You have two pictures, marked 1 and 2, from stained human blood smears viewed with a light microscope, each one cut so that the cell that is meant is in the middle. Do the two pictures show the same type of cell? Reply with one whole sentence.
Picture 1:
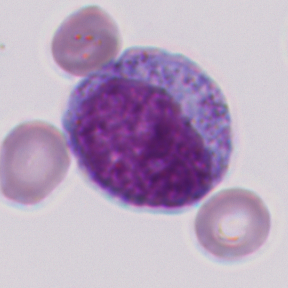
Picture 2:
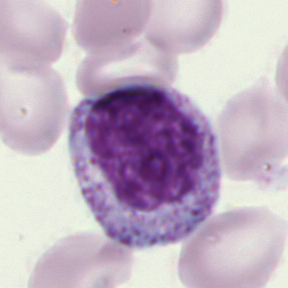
Yes; the cells in both pictures are myelocytes.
